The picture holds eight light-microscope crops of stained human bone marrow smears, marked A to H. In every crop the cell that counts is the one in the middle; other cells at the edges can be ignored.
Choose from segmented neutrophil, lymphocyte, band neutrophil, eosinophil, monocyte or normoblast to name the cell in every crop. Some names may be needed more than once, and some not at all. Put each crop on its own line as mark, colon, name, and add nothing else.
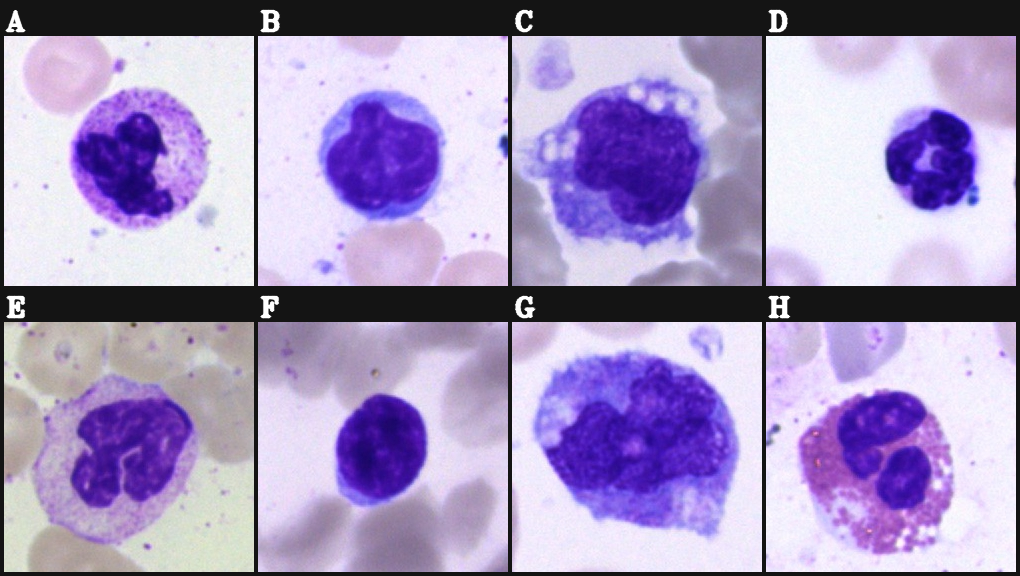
A: segmented neutrophil
B: lymphocyte
C: monocyte
D: segmented neutrophil
E: segmented neutrophil
F: lymphocyte
G: monocyte
H: eosinophil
